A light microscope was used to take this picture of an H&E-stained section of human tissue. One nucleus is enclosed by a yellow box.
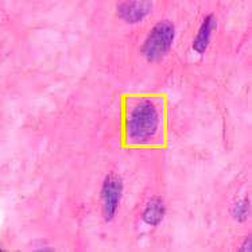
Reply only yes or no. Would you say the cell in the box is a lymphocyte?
no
